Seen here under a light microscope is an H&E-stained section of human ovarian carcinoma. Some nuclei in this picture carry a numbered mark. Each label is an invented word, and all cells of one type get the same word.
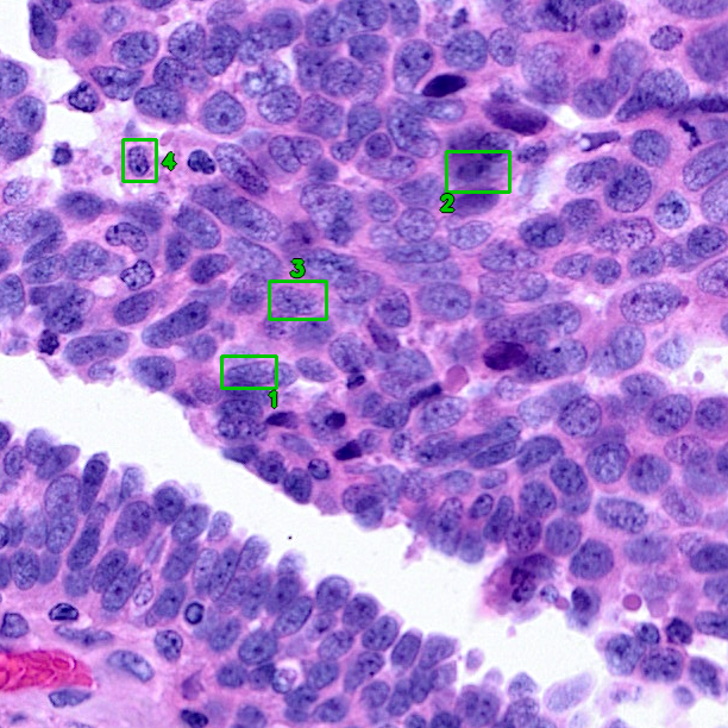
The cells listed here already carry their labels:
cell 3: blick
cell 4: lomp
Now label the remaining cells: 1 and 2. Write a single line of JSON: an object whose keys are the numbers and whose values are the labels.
{"1": "blick", "2": "blick"}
